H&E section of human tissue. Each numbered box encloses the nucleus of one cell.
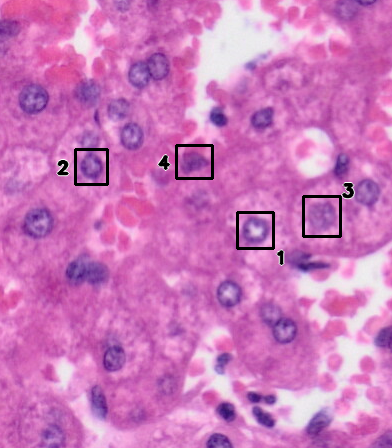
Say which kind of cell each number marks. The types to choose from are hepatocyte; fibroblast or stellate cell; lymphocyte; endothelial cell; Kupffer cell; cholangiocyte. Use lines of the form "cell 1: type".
cell 1: hepatocyte
cell 2: hepatocyte
cell 3: hepatocyte
cell 4: endothelial cell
